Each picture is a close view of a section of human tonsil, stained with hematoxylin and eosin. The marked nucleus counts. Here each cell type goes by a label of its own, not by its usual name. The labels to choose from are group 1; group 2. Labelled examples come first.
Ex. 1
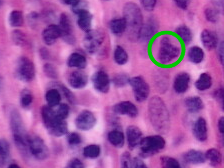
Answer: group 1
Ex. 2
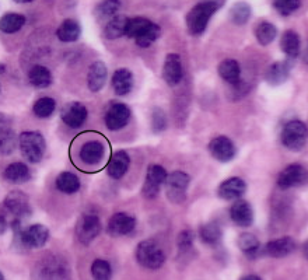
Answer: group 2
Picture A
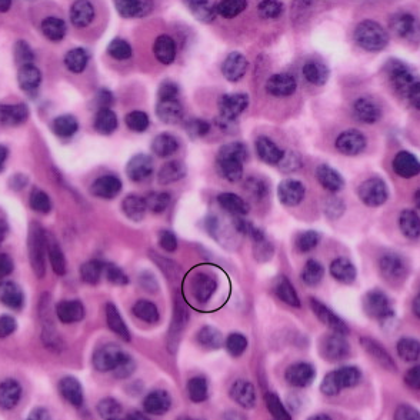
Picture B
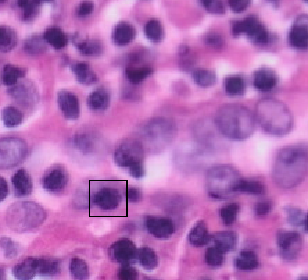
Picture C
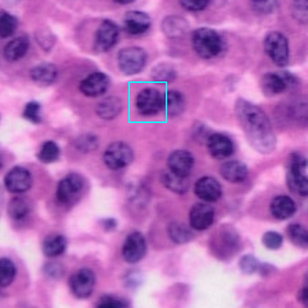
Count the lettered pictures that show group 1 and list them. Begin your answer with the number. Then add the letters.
Count: 1 (B)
